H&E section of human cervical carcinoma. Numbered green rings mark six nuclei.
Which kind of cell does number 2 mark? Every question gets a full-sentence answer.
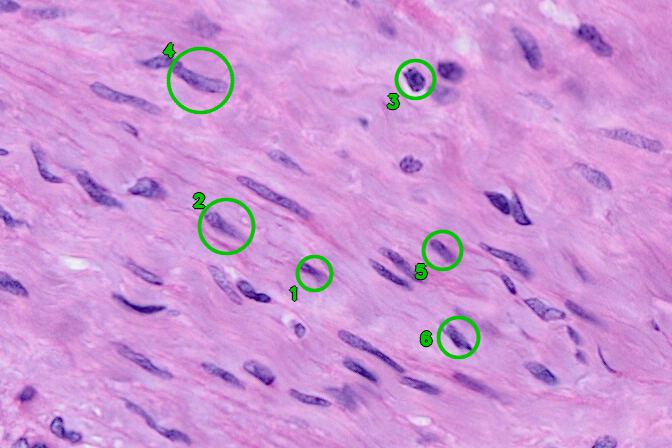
In the tissue shown, cell 2 is a smooth muscle cell.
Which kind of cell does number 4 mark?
The cell identified by the number 4 is a fibroblast.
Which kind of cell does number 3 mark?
Here the cell numbered 3 is a lymphocyte.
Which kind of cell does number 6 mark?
Denoted by the label 6 in the section is a fibroblast.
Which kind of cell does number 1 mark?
Within this field of view, the cell labelled 1 is a smooth muscle cell.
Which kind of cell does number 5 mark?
The identity of cell 5 is that of a smooth muscle cell.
